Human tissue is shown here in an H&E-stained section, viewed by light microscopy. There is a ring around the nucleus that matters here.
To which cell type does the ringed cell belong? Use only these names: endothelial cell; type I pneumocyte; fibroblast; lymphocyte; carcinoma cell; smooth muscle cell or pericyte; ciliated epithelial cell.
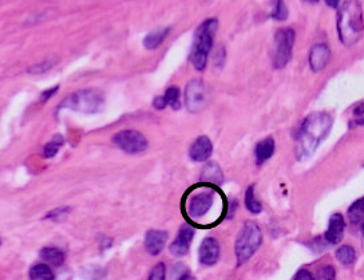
lymphocyte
